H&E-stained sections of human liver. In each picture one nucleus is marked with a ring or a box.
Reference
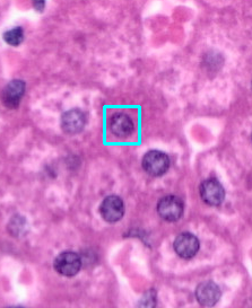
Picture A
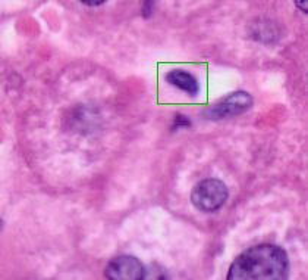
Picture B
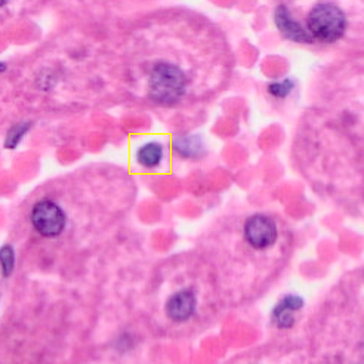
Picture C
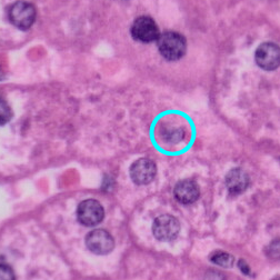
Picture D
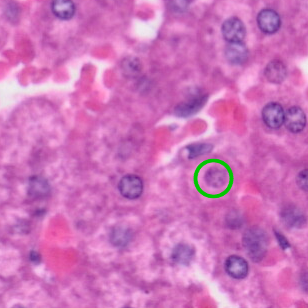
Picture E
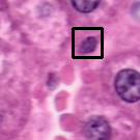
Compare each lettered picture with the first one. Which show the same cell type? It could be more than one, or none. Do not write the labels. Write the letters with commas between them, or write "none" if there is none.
D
